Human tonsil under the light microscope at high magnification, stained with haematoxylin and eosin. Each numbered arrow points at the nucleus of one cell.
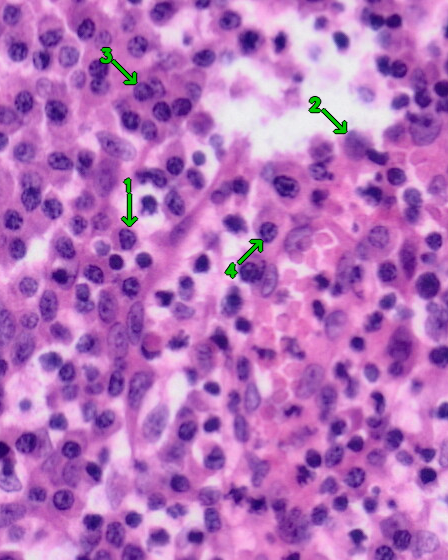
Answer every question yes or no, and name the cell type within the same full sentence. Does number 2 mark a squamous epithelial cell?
Yes, cell 2 is a squamous epithelial cell in this tissue section.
